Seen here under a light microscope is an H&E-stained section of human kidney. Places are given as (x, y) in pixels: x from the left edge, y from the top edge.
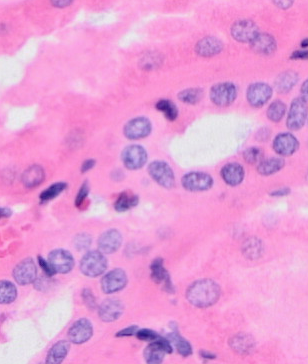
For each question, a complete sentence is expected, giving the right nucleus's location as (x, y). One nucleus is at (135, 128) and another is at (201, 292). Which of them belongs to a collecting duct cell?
Lying within a collecting duct cell is the nucleus at (135, 128).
